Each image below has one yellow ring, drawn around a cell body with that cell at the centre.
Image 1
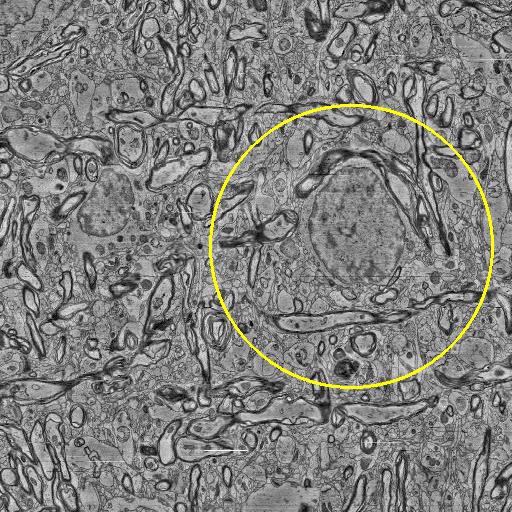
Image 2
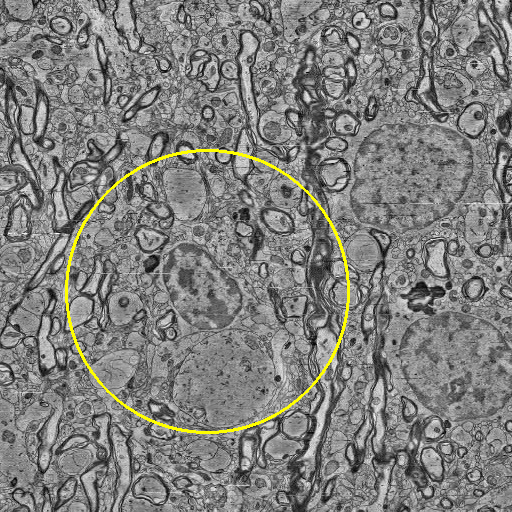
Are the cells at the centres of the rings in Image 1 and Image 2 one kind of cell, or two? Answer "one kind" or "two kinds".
two kinds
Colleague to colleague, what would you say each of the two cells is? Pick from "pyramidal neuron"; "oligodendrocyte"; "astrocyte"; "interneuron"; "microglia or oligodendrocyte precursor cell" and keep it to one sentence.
The cell in the first picture is an oligodendrocyte; the second picture's cell is a microglial cell or oligodendrocyte precursor cell.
